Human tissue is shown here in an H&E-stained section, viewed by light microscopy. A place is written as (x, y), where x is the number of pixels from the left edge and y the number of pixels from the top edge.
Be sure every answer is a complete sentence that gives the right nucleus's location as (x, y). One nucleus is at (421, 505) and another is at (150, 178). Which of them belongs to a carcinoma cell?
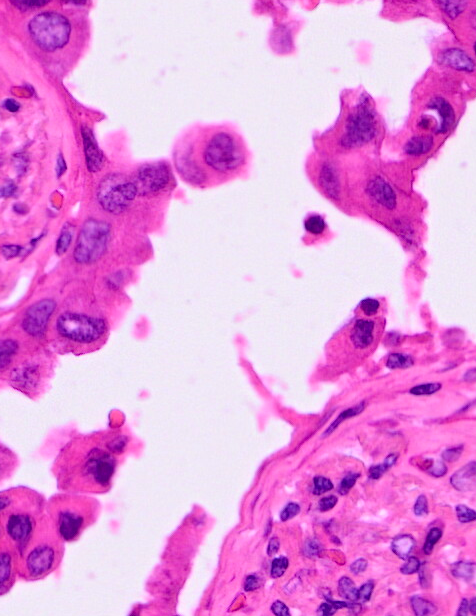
The nucleus whose position is (150, 178) belongs to a carcinoma cell.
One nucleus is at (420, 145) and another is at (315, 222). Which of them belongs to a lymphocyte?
The one at (315, 222) is the nucleus belonging to a lymphocyte, not the other one.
